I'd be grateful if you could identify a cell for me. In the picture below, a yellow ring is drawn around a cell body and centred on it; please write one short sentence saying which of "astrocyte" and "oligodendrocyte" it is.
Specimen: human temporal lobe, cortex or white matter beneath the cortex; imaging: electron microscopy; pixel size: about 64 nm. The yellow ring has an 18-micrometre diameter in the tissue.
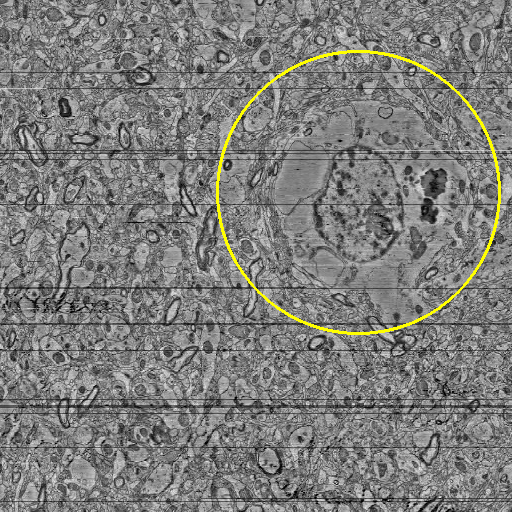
The cell under the ring's centre is an astrocyte.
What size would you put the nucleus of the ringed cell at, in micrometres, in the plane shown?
The ringed cell's nucleus is about 8 micrometres long and 6 micrometres wide in this plane.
